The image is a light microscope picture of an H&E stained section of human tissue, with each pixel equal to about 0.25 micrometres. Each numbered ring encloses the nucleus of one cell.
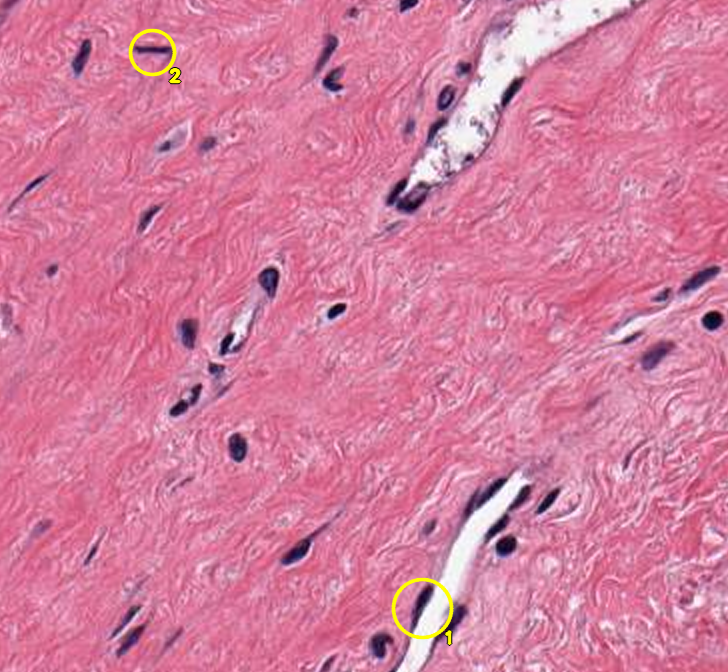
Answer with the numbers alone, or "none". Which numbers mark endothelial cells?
1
